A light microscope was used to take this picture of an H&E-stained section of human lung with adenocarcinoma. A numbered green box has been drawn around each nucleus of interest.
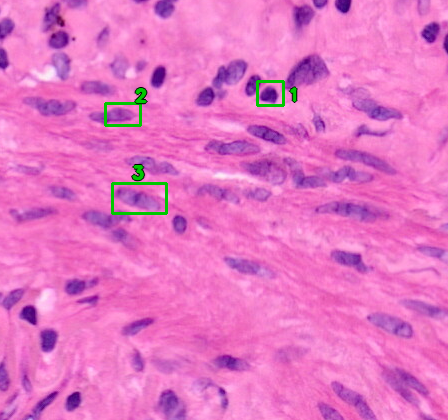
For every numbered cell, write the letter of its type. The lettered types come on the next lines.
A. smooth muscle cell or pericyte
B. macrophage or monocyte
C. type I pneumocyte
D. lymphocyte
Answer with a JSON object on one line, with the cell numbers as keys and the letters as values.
{"1": "D", "2": "A", "3": "A"}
